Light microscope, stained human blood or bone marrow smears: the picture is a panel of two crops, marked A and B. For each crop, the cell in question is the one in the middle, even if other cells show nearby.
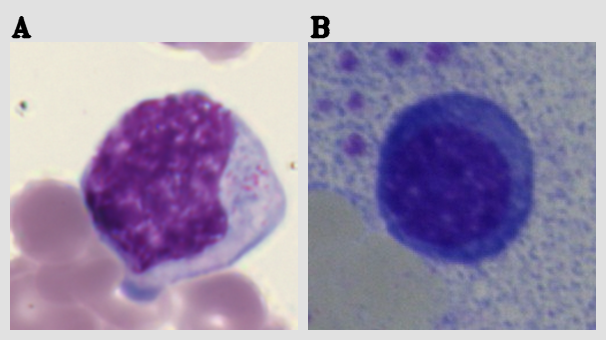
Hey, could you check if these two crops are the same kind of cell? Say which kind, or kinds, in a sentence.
No, a promyelocyte is the subject of crop A, and a plasma cell is the subject of crop B.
